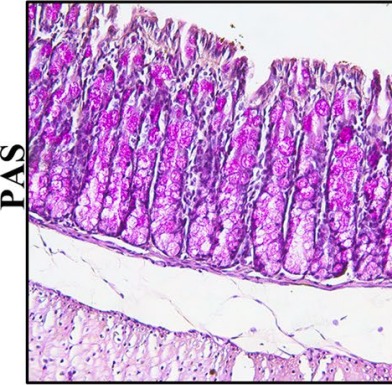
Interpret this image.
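This is colonic mucosa with a row of long, straight crypts standing side by side from the surface down to the muscle layer. The crypt epithelium is crowded with rounded cells whose cytoplasm is filled with magenta-stained mucus, giving the glands a bright pink-purple, bubbly look. Their small dark nuclei are pushed to the base of the cells, and purple-stained connective tissue of the lamina propria runs thinly between the crypts. Below the crypts a thin submucosa with loose, pale fibres separates the mucosa from the pale muscle layer.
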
